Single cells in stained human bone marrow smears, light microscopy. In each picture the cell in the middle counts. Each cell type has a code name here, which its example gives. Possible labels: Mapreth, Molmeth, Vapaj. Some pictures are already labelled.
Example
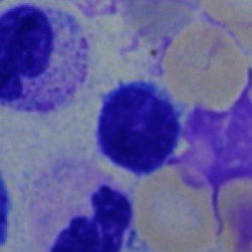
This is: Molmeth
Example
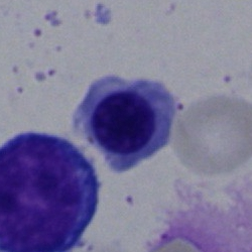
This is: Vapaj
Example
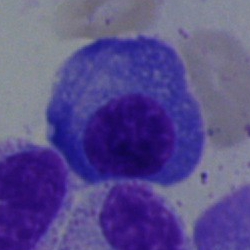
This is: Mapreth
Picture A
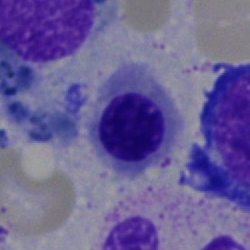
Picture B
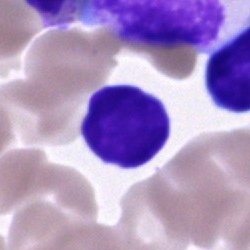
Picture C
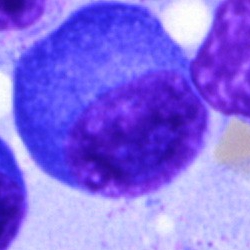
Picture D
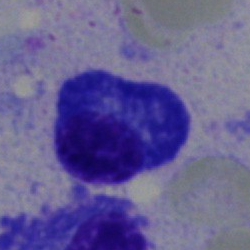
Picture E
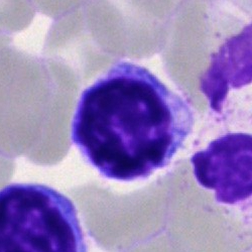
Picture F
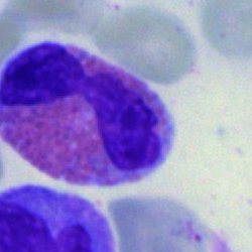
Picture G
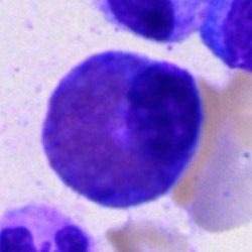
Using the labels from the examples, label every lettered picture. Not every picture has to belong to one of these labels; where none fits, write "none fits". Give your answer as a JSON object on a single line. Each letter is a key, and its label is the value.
{"A": "Vapaj", "B": "Molmeth", "C": "Mapreth", "D": "Mapreth", "E": "Molmeth", "F": "none fits", "G": "none fits"}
